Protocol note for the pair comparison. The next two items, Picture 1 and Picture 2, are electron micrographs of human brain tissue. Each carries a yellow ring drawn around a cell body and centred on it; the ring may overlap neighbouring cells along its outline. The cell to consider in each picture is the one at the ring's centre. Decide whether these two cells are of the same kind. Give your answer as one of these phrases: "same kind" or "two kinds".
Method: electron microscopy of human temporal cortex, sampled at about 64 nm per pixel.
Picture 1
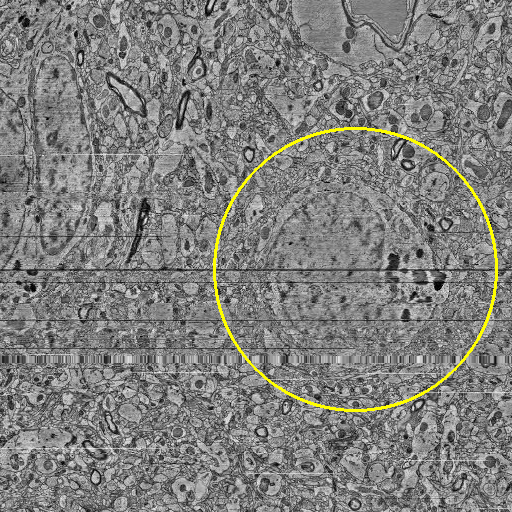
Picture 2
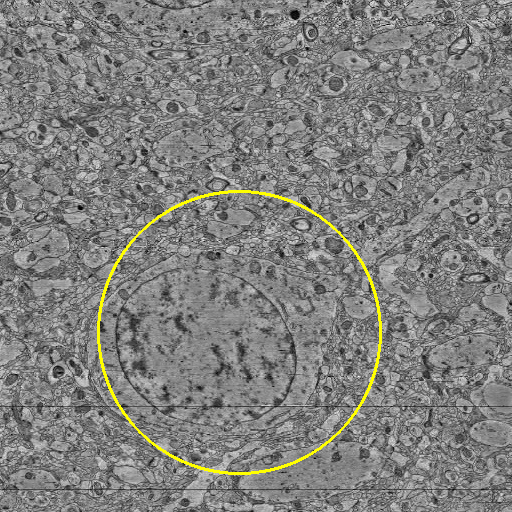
two kinds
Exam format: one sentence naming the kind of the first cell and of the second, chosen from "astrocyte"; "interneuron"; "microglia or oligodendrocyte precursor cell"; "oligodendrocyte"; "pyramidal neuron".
The first picture's cell is an interneuron, and the second picture's cell is a pyramidal neuron.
